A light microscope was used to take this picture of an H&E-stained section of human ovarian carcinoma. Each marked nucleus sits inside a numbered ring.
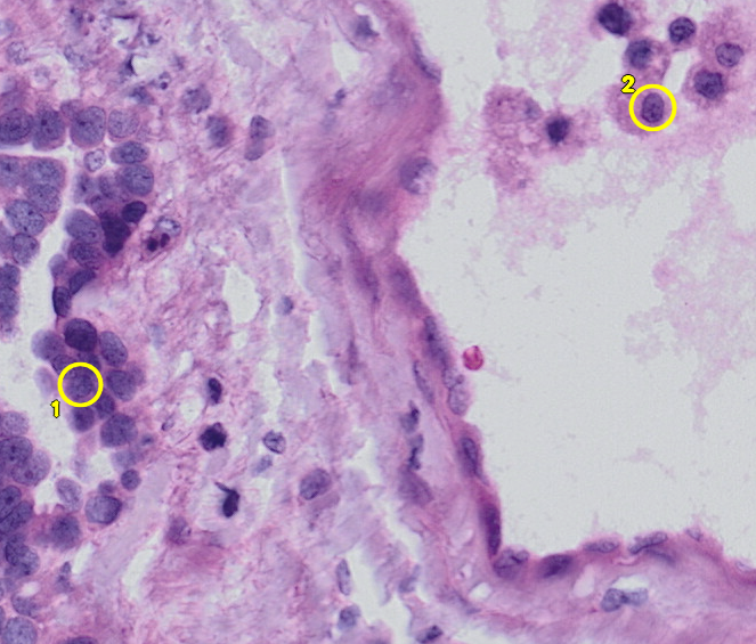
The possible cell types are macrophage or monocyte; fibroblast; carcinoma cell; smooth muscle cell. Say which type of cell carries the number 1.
carcinoma cell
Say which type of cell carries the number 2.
macrophage or monocyte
